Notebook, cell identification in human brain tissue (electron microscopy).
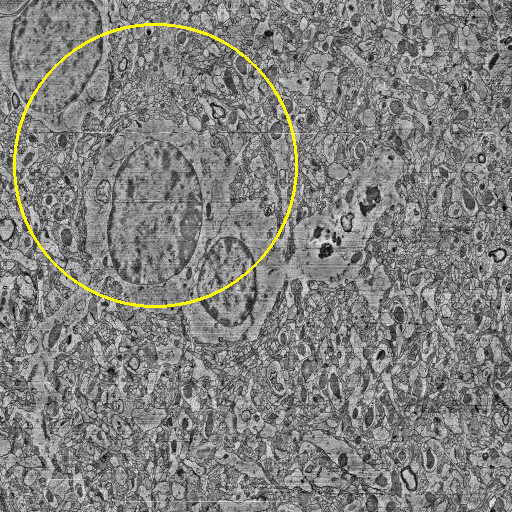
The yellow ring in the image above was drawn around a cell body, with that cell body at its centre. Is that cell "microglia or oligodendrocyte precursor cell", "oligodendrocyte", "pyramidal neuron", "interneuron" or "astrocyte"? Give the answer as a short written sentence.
The cell in the ring is an astrocyte.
